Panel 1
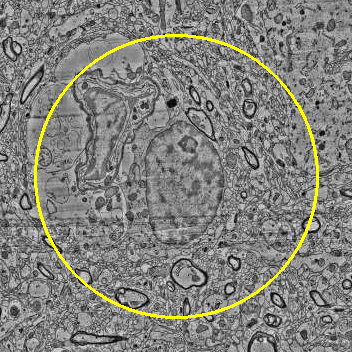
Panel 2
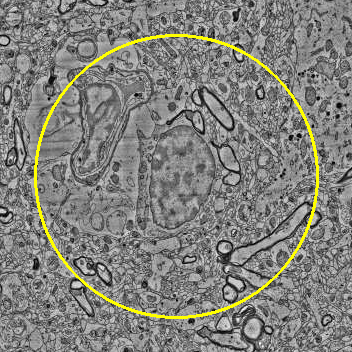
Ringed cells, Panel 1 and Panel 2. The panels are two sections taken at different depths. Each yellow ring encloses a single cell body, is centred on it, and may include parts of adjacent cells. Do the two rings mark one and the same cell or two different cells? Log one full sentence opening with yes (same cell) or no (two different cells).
Yes, one cell accounts for both of the yellow rings.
